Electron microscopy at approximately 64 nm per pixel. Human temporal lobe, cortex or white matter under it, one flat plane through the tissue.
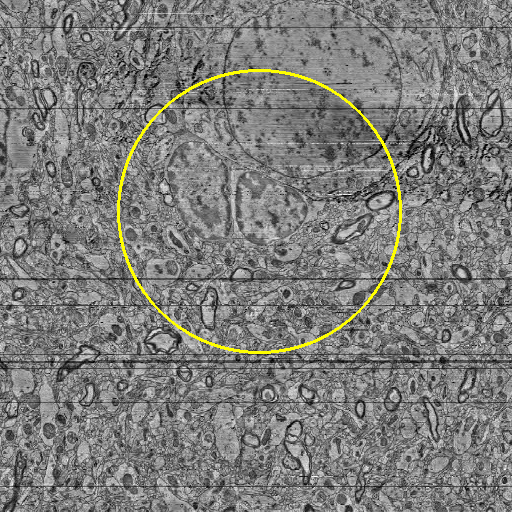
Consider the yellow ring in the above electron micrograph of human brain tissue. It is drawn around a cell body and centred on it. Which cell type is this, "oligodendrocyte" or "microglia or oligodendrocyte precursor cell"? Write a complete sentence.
The cell in question is a microglial cell or oligodendrocyte precursor cell.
